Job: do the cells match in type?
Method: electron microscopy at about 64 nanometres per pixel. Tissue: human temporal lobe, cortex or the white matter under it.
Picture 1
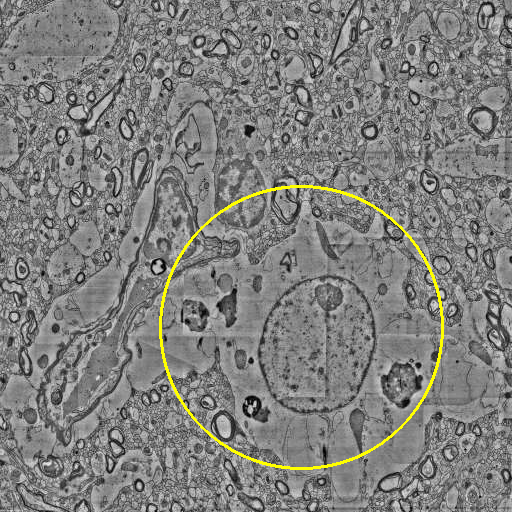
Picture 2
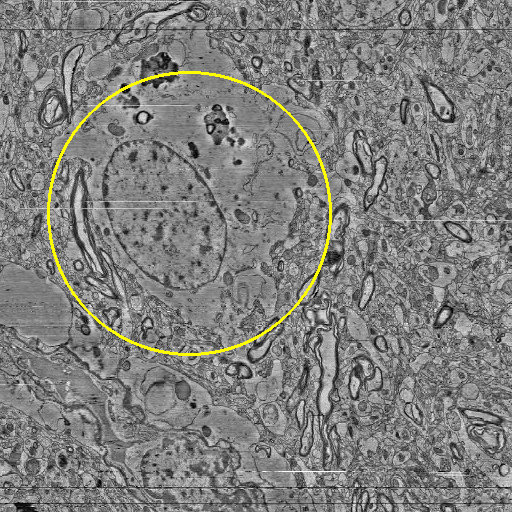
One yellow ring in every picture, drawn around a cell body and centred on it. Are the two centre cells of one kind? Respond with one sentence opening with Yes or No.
Yes, the ringed cells in the two pictures are of one and the same kind.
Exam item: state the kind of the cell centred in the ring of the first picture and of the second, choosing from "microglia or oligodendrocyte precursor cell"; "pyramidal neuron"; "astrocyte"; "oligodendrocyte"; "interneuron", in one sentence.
In the first picture and in the second, the ring is centred on an astrocyte.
